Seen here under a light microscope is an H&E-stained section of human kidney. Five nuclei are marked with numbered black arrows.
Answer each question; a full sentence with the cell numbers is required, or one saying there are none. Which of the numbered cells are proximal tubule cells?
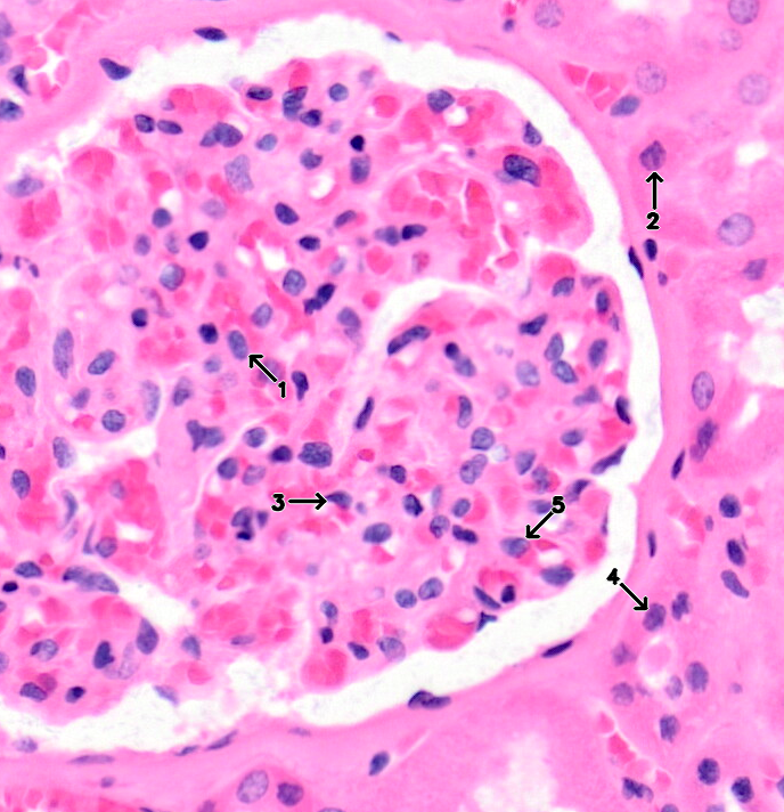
Of all the numbered cells, only cell 2 is a proximal tubule cell.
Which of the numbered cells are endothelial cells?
Each of the cells numbered 1, 3 and 5 is among the endothelial cells.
